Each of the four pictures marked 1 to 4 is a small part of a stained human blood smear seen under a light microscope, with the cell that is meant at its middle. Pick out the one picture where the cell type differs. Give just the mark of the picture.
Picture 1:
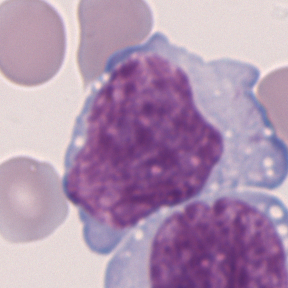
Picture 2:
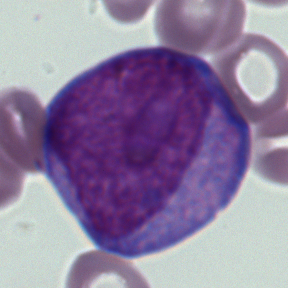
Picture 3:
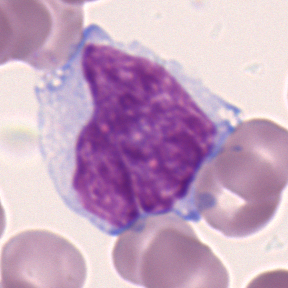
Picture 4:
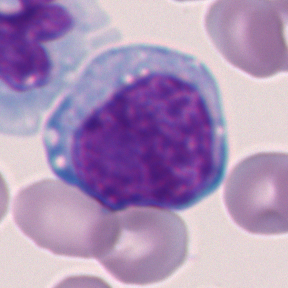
2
